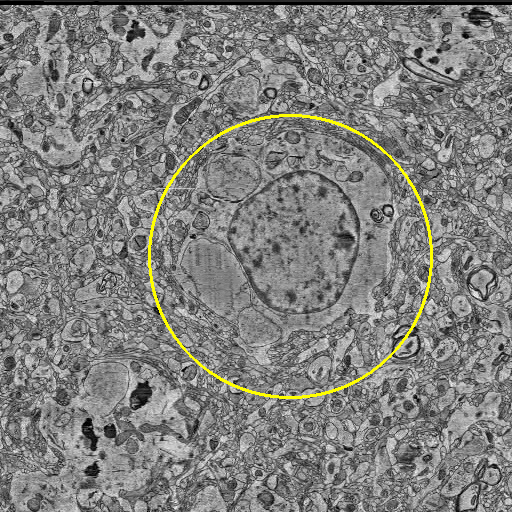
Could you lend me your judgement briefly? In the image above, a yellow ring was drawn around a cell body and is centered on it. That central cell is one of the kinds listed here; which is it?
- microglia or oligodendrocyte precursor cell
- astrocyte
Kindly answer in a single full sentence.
Going by the list, an astrocyte is the kind at the ring's center in the picture.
